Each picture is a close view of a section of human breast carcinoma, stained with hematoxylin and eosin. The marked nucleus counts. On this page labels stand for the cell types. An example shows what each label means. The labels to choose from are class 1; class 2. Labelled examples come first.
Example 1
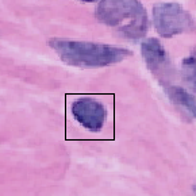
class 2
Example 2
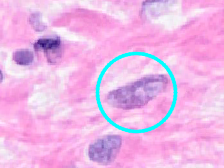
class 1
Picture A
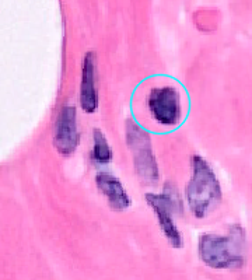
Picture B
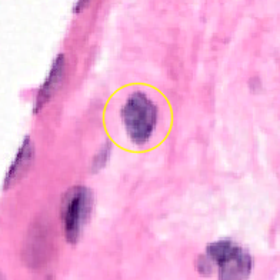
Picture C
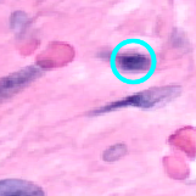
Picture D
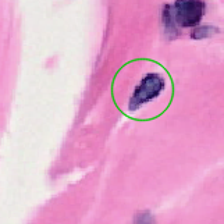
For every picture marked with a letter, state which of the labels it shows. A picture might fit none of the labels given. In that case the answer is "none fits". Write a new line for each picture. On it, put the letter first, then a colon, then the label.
A: class 2
B: class 2
C: none fits
D: class 2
